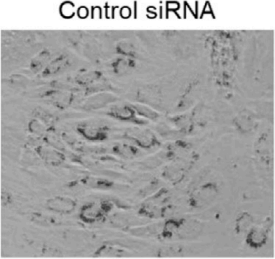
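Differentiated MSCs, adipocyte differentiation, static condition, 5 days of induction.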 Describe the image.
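Many cells contain small dark granules clustered in their cytoplasm, often around a paler central area. The cells lie among flat, pale neighbouring cells with faint outlines.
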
